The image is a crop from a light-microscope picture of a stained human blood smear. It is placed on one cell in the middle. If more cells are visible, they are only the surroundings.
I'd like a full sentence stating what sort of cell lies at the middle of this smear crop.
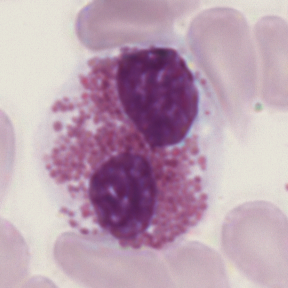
The center cell of this crop is an eosinophil.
